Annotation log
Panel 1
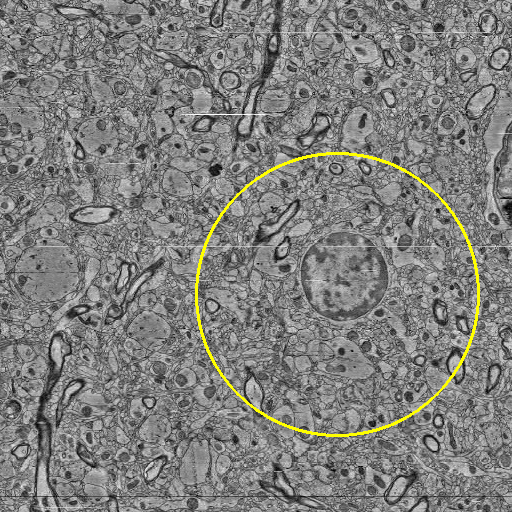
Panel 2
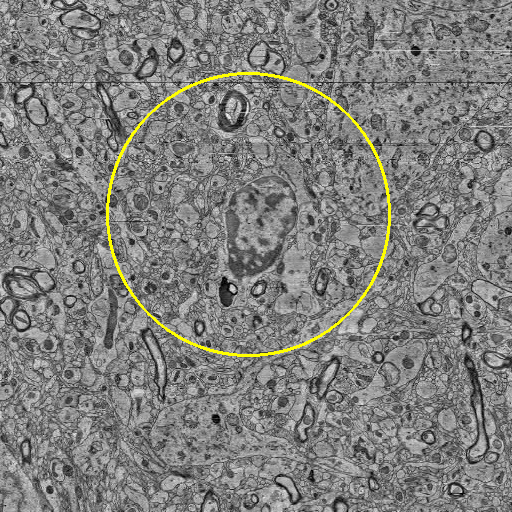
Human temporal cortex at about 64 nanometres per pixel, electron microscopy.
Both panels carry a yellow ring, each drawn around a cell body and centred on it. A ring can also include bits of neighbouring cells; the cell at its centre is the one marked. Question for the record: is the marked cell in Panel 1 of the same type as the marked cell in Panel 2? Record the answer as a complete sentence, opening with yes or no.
Yes, the marked cells in Panel 1 and Panel 2 are of the same type.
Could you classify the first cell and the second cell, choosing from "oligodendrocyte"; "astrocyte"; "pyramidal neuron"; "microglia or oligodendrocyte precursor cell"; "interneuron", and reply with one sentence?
Each of the two rings surrounds a microglial cell or oligodendrocyte precursor cell.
